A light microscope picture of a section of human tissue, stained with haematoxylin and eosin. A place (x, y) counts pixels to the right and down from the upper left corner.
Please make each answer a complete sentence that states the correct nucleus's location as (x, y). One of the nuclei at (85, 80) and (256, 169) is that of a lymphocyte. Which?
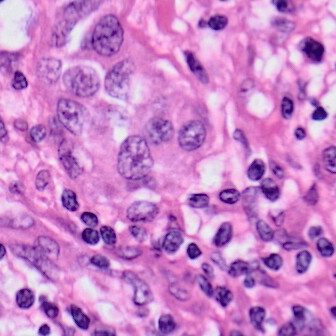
The nucleus whose cell is a lymphocyte is the one at (256, 169).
